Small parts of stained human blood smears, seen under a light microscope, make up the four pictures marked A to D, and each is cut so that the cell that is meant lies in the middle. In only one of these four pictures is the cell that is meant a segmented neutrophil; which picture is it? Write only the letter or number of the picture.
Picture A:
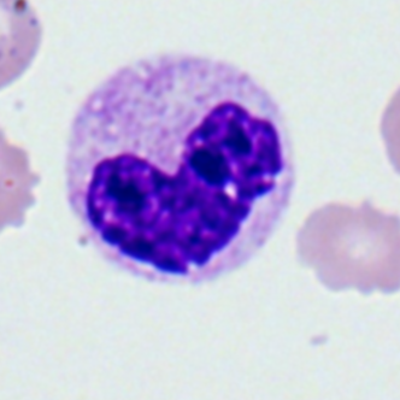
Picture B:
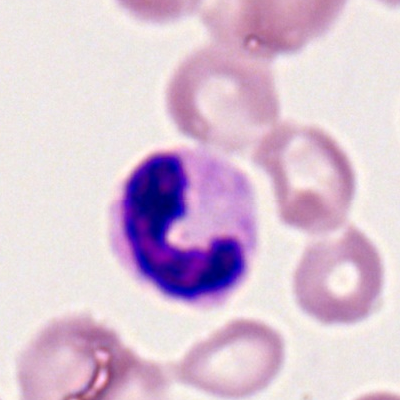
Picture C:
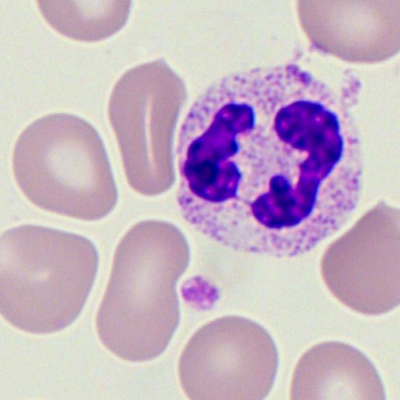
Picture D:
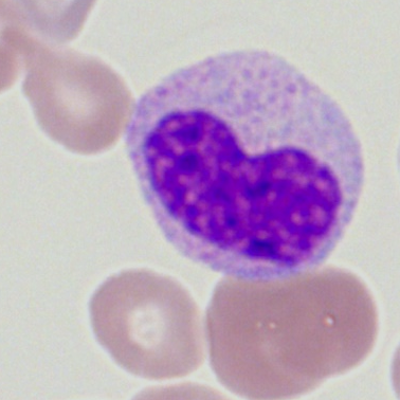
C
